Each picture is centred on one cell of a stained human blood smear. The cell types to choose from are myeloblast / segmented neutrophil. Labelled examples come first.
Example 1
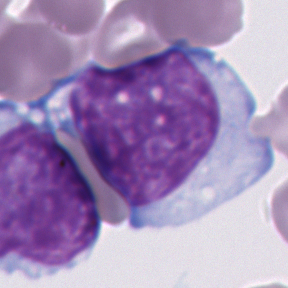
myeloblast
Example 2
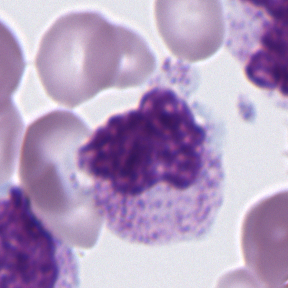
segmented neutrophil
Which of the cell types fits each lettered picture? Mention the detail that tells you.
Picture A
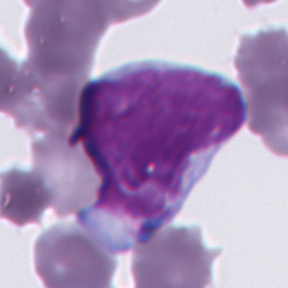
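myeloblast. Evidence: The nucleus fills most of the cell.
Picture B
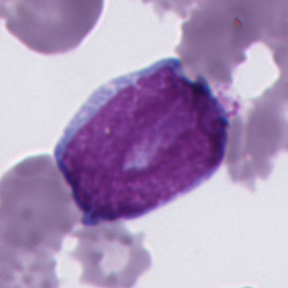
myeloblast. Evidence: The cytoplasm forms only a thin rim, widest along the upper-left edge.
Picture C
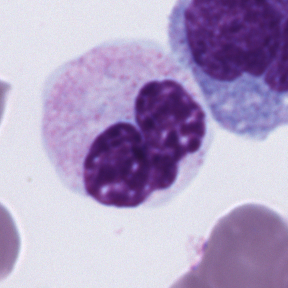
segmented neutrophil. Evidence: The cytoplasm is abundant compared with the nucleus.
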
